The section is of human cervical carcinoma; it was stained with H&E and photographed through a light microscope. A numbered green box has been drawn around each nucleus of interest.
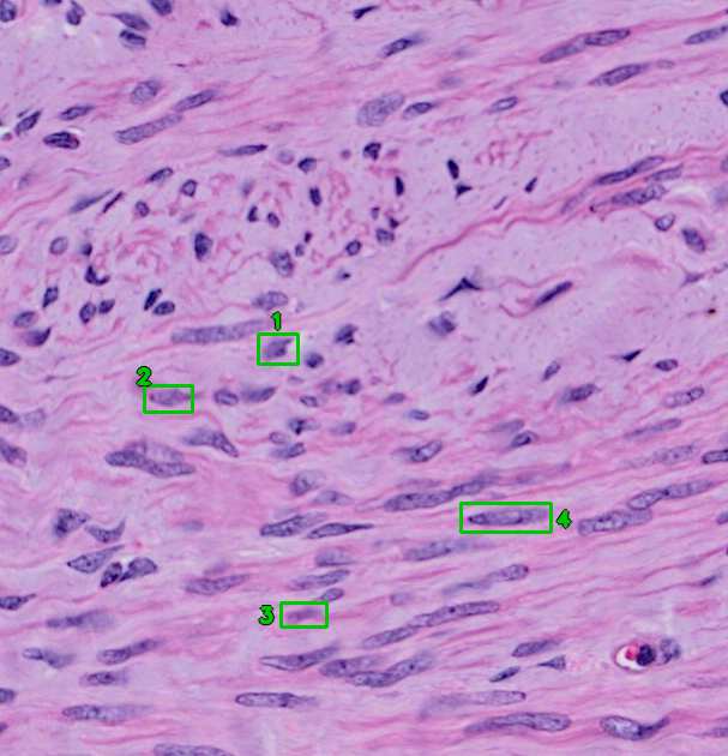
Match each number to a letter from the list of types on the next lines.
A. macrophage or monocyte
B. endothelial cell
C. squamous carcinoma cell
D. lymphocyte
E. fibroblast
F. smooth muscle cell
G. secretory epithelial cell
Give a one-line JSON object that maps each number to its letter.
{"1": "E", "2": "F", "3": "F", "4": "F"}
